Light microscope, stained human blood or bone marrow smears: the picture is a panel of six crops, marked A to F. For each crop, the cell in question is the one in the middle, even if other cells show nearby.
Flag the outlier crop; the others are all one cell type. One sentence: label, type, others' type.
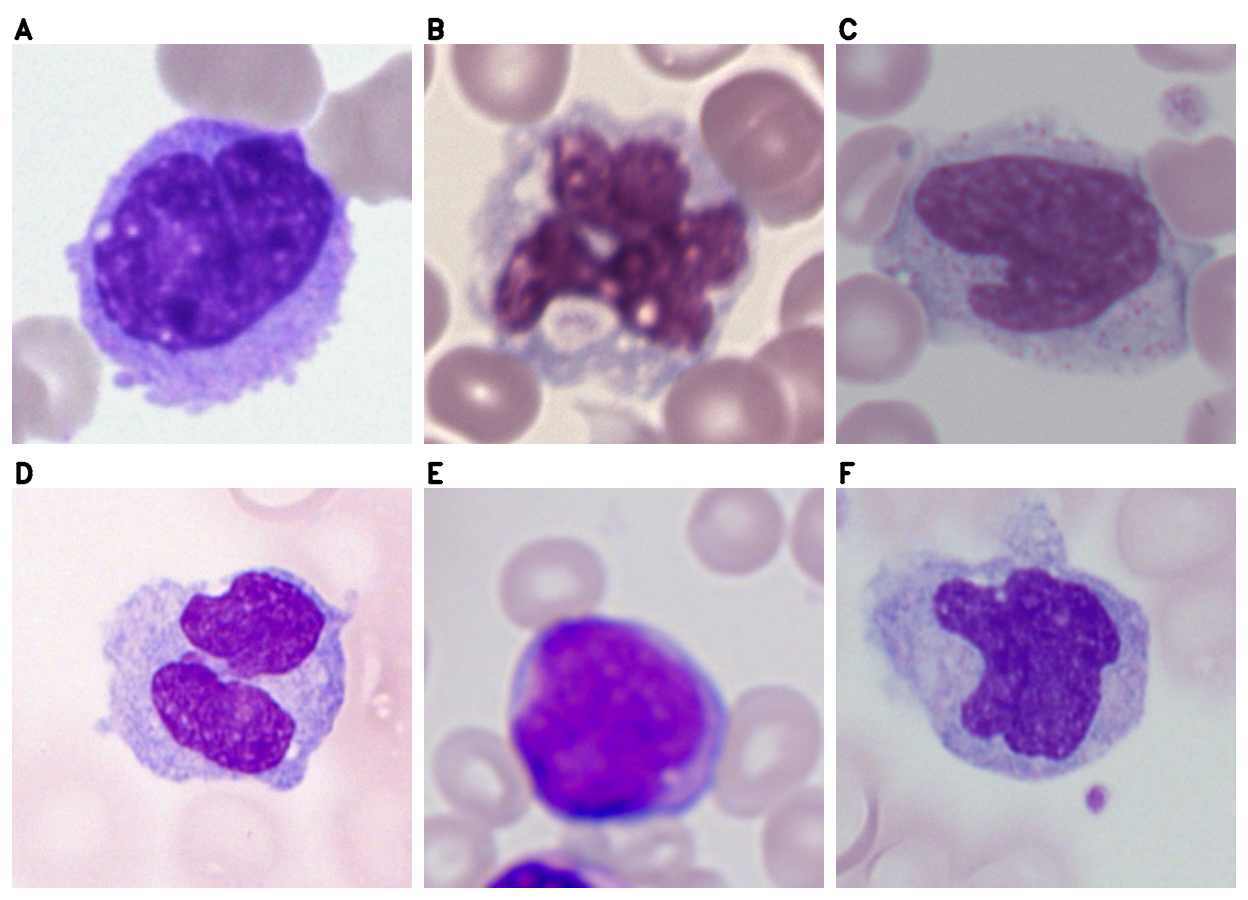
The crops all show monocytes, with the exception of crop E, which shows a blast.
